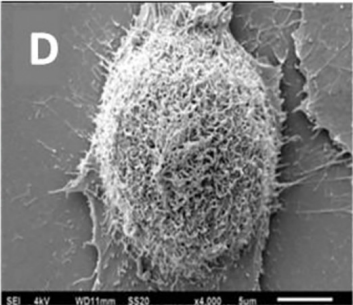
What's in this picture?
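Single cultured cell seen by scanning electron microscopy, with a domed oval cell body whose entire upper surface is densely covered by short, crowded membrane projections giving a rough, bristly texture. At the margin the cell flattens into a thin skirt adhering to the substrate, from which fine filament-like extensions radiate outward. Parts of neighbouring flattened cells are visible at the edges. No surface openings or holes are evident on the cell body.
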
